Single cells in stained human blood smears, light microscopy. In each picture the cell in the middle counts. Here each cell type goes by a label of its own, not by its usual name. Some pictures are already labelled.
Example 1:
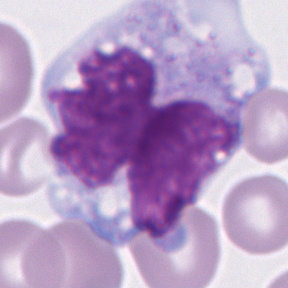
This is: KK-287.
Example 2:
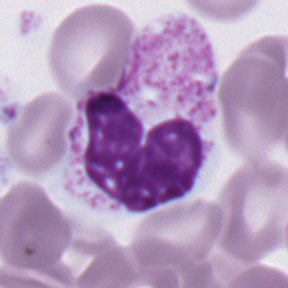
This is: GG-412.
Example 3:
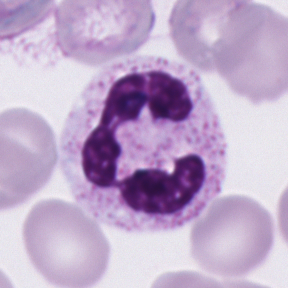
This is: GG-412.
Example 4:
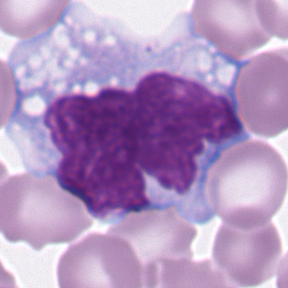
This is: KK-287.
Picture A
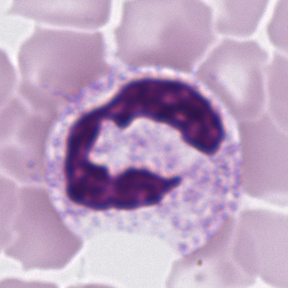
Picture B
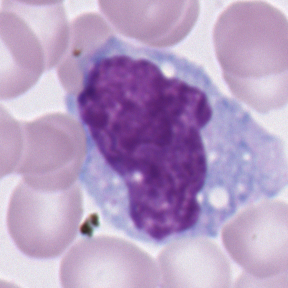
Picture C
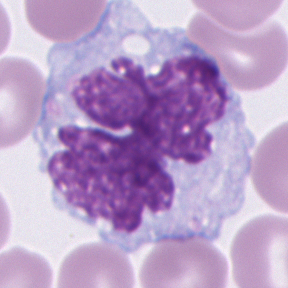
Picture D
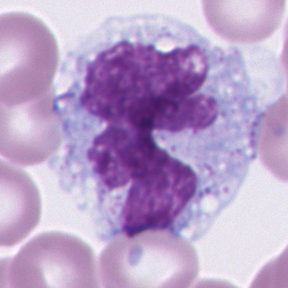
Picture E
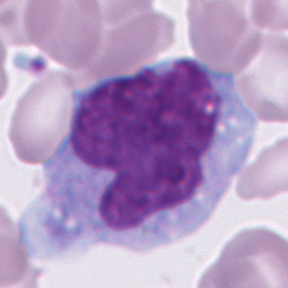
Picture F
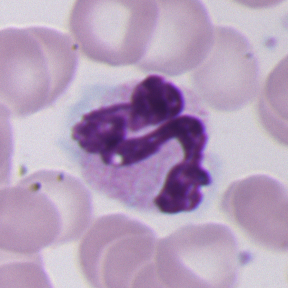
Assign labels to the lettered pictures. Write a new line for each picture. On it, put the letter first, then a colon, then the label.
A: GG-412.
B: KK-287.
C: KK-287.
D: KK-287.
E: KK-287.
F: GG-412.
